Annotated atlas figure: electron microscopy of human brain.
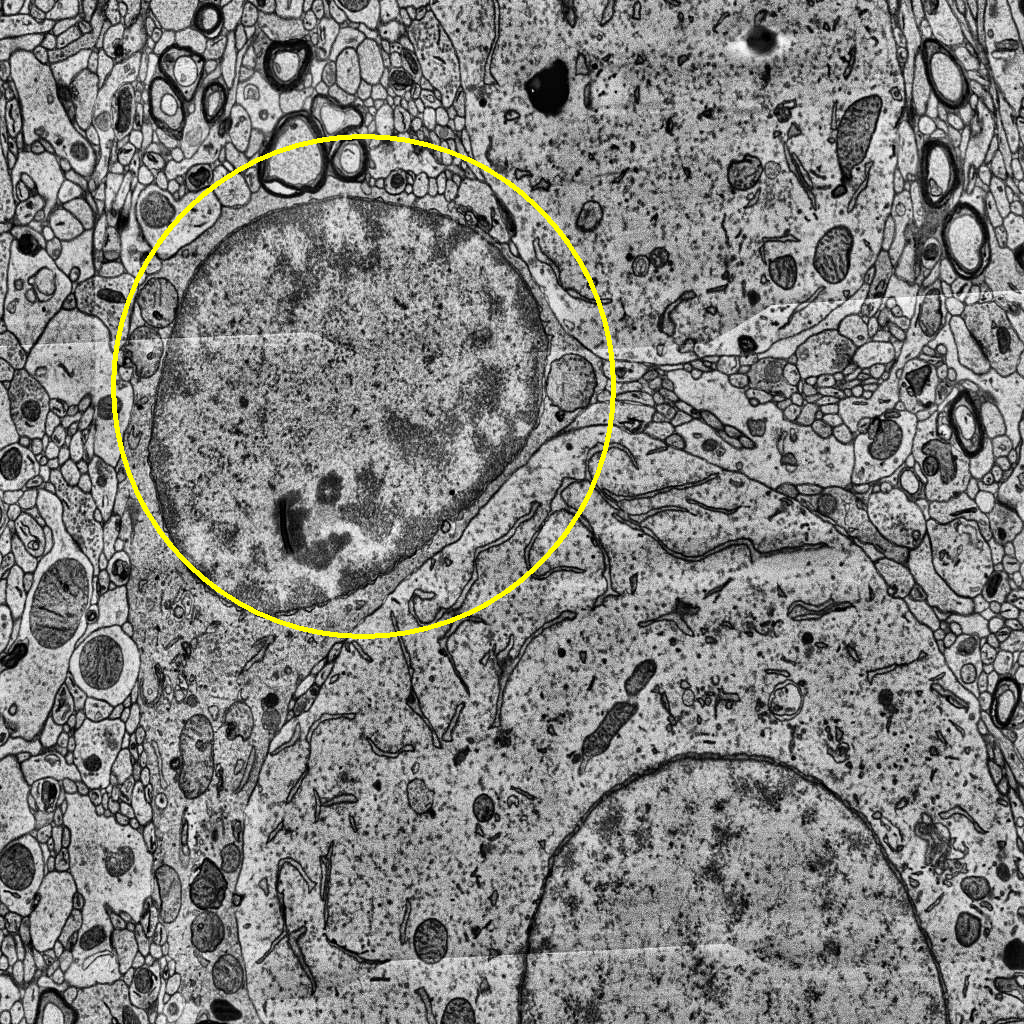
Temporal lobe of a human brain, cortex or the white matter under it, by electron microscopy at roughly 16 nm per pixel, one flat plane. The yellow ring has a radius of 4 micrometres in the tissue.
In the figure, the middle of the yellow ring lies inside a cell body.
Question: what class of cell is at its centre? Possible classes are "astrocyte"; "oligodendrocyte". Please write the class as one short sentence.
The yellow ring's centre lies in an oligodendrocyte.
